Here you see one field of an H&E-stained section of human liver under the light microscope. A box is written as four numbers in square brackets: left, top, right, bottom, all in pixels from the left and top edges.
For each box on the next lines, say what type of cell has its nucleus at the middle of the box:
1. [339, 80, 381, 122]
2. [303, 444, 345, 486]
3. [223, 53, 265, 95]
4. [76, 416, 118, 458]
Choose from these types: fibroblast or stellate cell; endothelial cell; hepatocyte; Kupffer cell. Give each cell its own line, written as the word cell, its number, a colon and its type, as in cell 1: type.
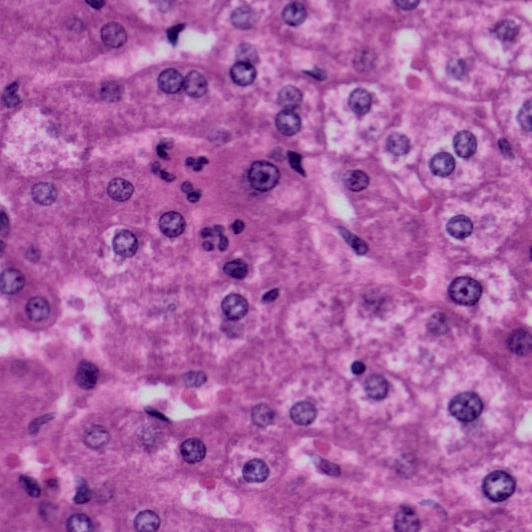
cell 1: hepatocyte
cell 2: Kupffer cell
cell 3: hepatocyte
cell 4: hepatocyte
